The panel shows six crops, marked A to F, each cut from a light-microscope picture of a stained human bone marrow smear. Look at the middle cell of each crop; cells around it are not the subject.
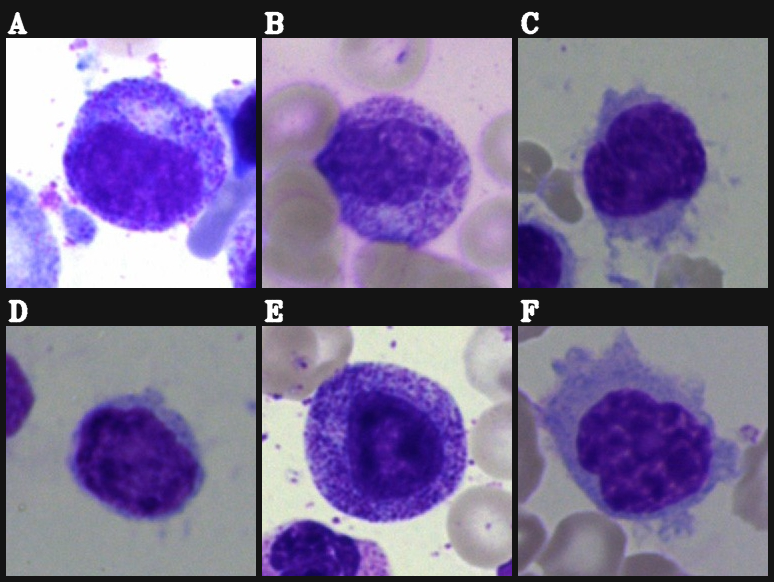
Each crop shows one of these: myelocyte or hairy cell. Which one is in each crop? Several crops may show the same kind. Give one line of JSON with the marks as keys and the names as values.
{"A": "myelocyte", "B": "myelocyte", "C": "hairy cell", "D": "hairy cell", "E": "myelocyte", "F": "hairy cell"}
